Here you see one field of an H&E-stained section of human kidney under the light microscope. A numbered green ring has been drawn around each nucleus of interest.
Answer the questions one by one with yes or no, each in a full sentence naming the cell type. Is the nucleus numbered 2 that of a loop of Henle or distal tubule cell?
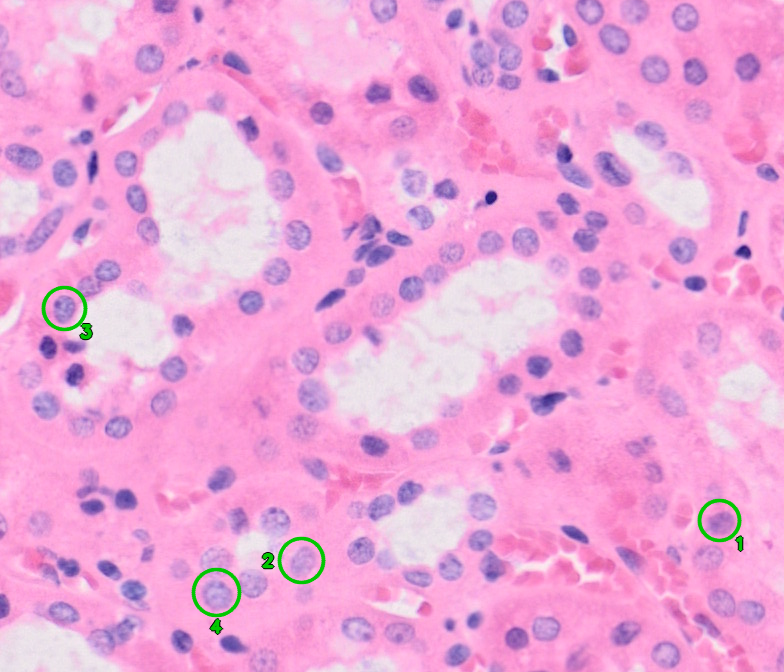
Yes, the cell that bears the number 2 is a loop of Henle or distal tubule cell.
